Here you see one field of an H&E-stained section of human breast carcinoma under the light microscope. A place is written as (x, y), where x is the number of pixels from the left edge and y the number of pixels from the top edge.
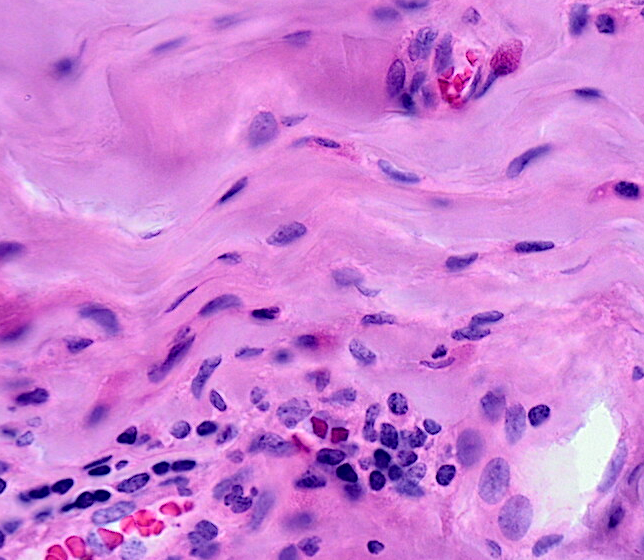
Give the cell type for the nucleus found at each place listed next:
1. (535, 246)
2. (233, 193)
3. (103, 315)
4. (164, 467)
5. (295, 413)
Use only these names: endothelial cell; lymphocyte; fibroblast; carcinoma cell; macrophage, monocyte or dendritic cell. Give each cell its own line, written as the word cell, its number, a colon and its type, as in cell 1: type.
cell 1: fibroblast
cell 2: fibroblast
cell 3: fibroblast
cell 4: lymphocyte
cell 5: endothelial cell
